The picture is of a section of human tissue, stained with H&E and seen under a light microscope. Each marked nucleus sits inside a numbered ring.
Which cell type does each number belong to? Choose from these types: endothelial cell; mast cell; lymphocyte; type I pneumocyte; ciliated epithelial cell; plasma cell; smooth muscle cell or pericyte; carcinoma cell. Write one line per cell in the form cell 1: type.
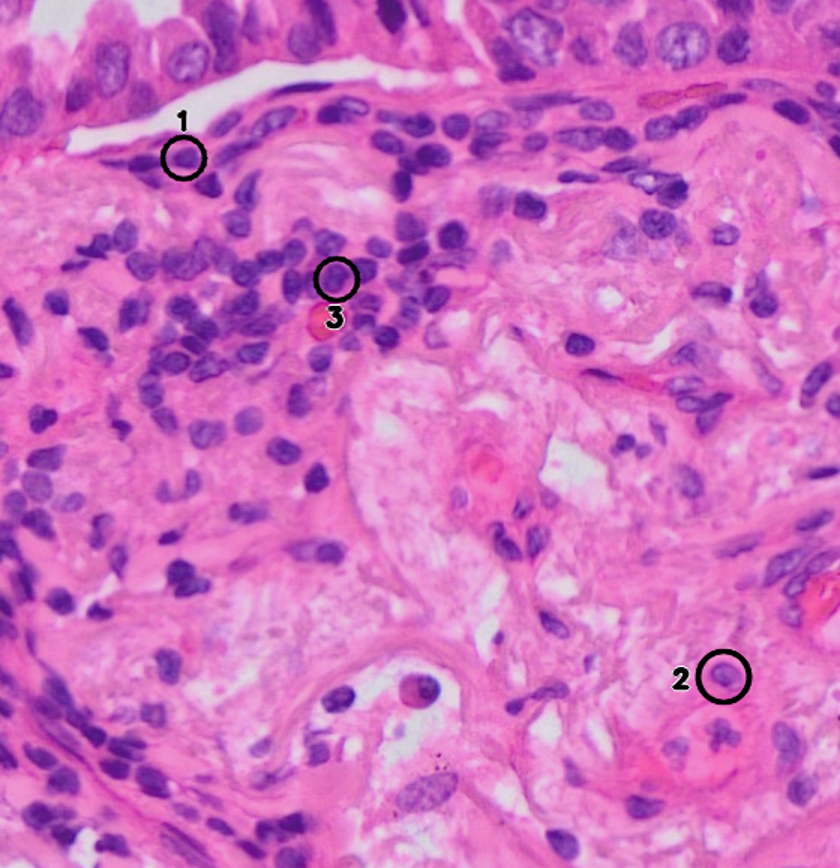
cell 1: lymphocyte
cell 2: smooth muscle cell or pericyte
cell 3: lymphocyte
